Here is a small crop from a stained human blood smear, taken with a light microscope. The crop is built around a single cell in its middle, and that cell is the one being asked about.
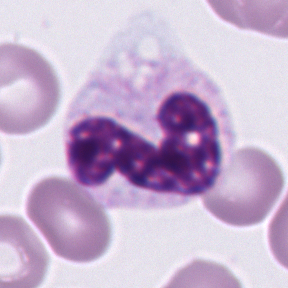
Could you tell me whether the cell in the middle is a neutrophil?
yes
